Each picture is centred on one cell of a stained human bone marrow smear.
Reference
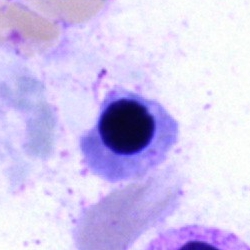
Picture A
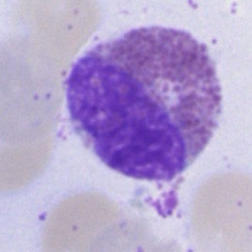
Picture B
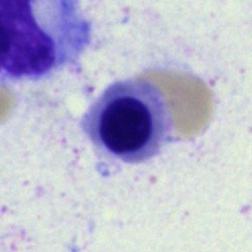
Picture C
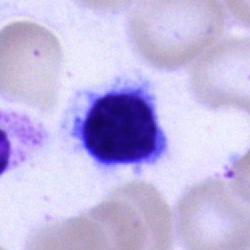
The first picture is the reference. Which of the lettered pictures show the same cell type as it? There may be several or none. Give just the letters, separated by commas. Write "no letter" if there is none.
B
